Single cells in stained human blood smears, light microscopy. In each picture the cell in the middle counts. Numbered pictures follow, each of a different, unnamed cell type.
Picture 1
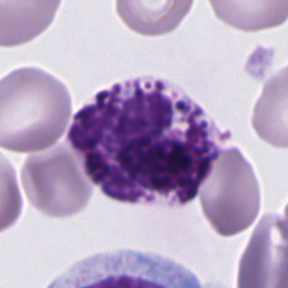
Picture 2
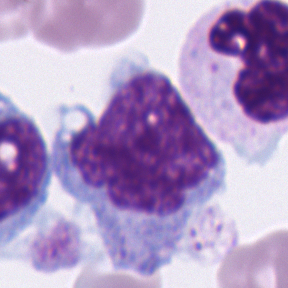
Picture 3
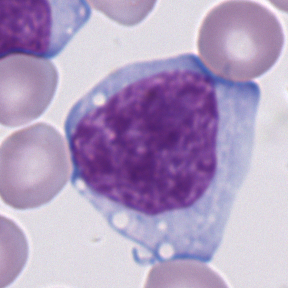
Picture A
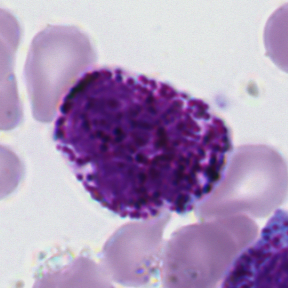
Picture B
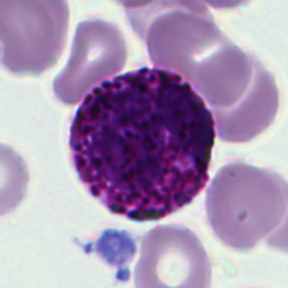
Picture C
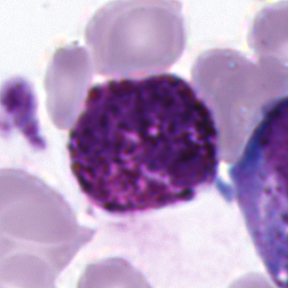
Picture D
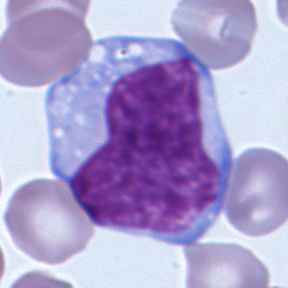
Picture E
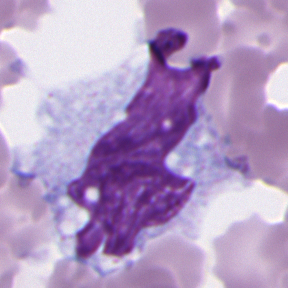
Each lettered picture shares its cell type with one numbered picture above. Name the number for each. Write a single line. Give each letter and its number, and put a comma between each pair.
A 1, B 1, C 1, D 3, E 2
